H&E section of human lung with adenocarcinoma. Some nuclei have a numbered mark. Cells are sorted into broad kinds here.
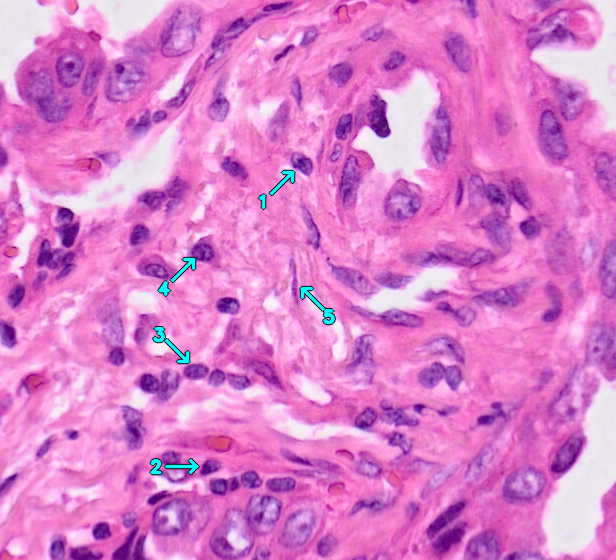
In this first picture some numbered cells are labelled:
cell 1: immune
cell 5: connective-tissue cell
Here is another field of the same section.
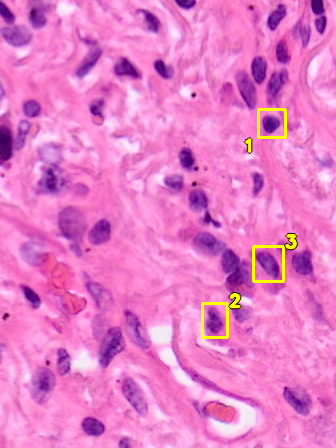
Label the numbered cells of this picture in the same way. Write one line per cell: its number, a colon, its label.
1: immune
2: immune
3: immune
